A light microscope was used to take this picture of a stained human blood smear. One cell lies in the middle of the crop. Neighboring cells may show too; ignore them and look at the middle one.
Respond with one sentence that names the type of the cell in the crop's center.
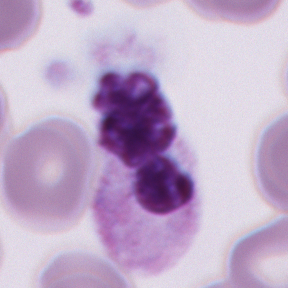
Positioned in the middle of the crop is a segmented neutrophil.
